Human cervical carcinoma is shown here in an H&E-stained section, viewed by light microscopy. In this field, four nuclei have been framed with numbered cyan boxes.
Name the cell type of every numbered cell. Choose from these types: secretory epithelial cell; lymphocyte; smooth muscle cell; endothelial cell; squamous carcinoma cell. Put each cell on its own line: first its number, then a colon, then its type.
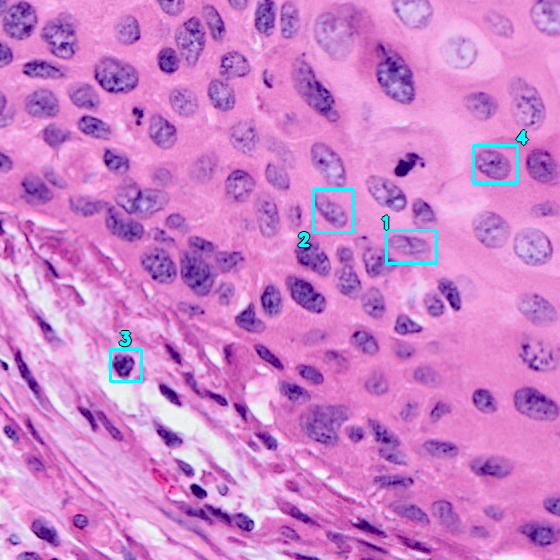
1: squamous carcinoma cell
2: squamous carcinoma cell
3: lymphocyte
4: squamous carcinoma cell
